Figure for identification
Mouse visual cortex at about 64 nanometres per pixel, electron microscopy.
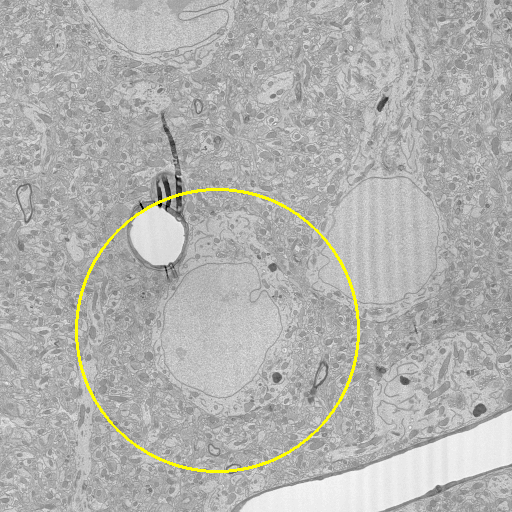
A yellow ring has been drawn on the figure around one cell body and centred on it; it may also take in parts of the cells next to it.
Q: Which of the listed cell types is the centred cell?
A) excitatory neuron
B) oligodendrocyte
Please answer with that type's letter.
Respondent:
A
